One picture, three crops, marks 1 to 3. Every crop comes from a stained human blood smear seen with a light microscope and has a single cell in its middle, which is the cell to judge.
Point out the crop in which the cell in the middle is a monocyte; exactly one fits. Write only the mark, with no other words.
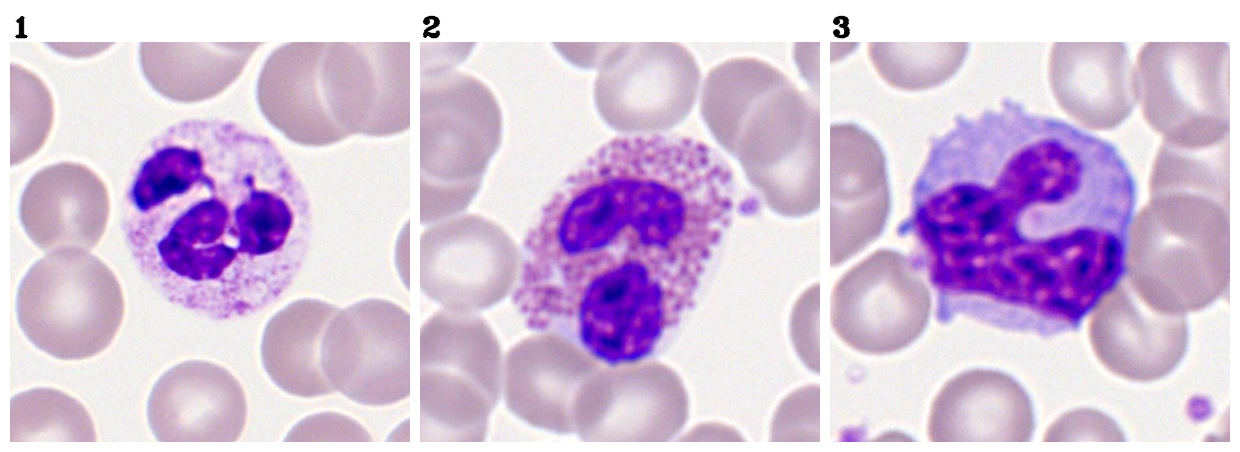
3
